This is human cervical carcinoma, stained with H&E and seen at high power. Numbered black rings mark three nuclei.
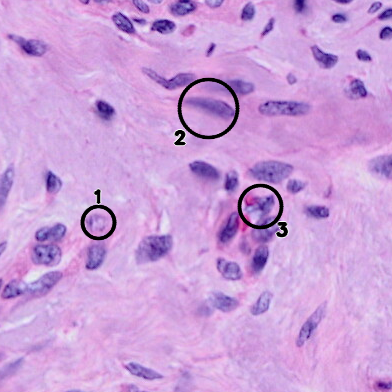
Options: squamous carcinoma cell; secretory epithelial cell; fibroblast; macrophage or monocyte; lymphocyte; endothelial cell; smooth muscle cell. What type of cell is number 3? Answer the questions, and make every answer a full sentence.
The cell assigned the number 3 is an endothelial cell.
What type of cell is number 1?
The cell that goes by number 1 is an endothelial cell.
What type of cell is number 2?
Among the marked cells, number 2 is a fibroblast.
